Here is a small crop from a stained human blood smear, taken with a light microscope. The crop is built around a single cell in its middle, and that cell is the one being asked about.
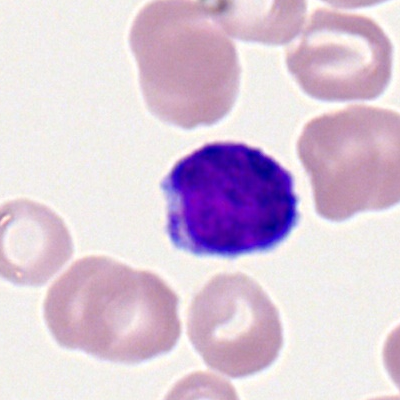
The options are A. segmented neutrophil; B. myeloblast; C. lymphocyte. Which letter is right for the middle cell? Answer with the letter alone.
C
